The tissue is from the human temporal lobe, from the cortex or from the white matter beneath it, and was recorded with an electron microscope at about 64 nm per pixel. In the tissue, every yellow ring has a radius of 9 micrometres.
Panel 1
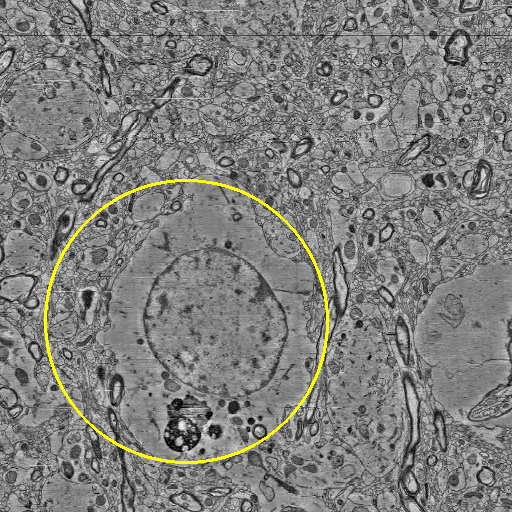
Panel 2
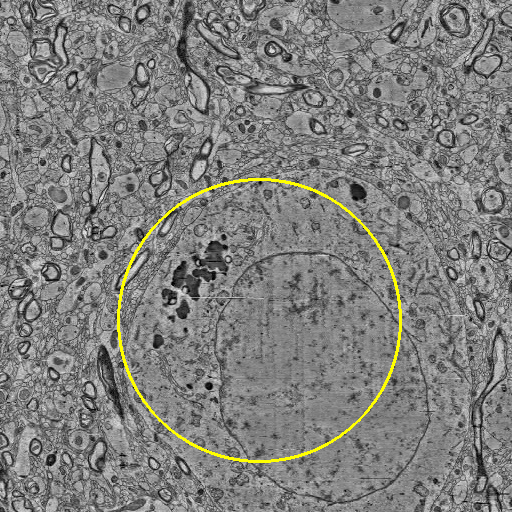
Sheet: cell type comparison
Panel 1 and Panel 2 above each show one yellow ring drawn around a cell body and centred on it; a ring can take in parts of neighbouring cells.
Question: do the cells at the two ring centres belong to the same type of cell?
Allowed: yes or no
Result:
no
